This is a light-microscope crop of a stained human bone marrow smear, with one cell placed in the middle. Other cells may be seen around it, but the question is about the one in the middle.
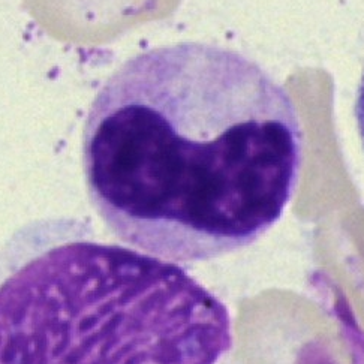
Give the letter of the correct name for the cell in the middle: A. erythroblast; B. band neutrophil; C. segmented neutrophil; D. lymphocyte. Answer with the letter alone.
B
